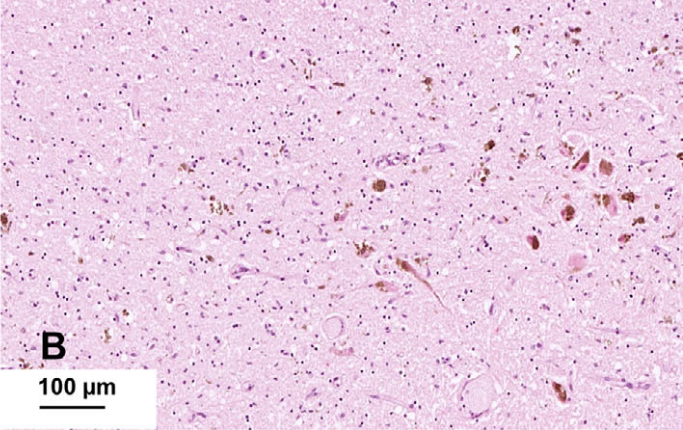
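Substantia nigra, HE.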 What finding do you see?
Pigment incontinence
